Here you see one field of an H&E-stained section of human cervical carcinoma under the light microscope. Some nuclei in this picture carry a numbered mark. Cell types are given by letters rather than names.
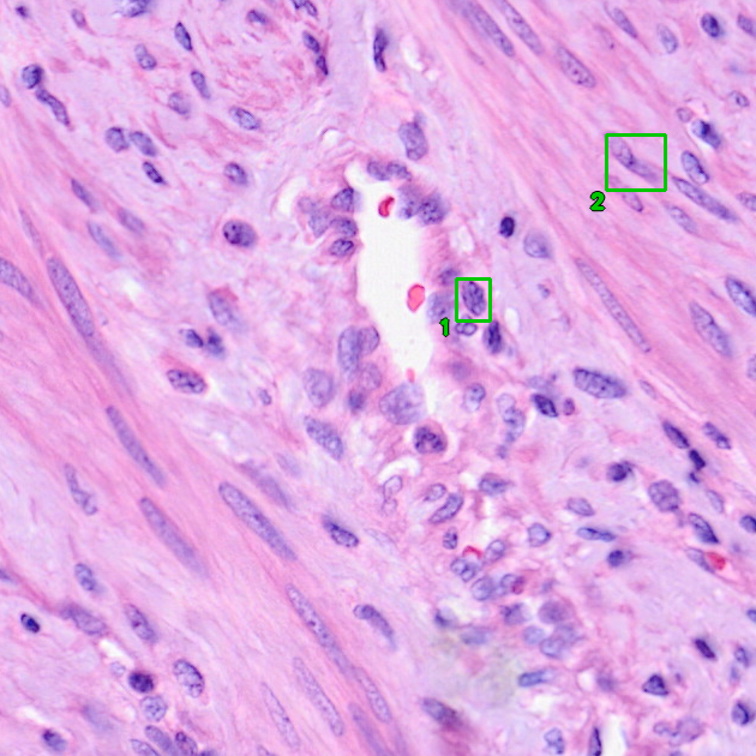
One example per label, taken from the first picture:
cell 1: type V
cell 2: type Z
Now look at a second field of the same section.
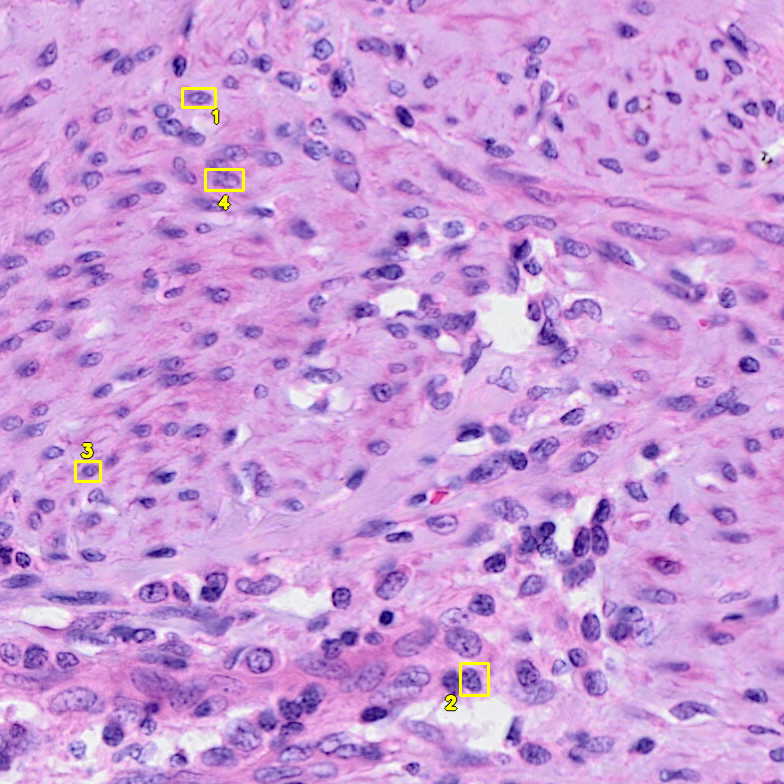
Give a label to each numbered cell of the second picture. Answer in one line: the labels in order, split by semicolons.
type Z; type V; type Z; type Z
